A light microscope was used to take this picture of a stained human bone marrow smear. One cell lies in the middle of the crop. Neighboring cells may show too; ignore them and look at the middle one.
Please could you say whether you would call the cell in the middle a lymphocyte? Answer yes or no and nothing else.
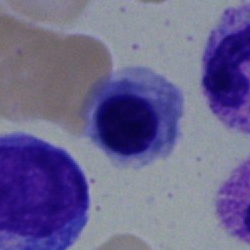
no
